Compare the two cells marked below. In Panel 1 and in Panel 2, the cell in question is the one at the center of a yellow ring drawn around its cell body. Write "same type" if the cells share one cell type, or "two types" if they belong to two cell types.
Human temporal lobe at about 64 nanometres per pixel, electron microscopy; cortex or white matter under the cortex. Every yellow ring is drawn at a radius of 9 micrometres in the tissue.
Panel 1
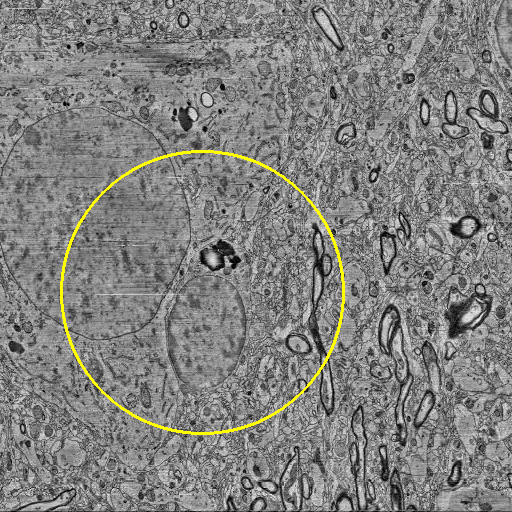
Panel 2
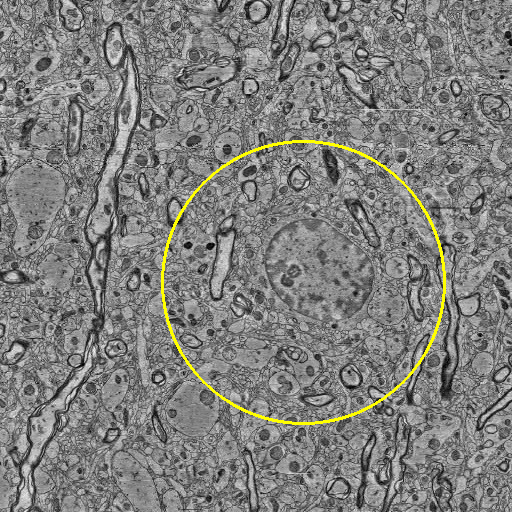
same type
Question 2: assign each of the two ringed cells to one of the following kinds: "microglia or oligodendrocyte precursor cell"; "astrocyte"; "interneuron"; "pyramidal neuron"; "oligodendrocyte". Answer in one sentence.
Each of the two pictures has an oligodendrocyte at the ring centre.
